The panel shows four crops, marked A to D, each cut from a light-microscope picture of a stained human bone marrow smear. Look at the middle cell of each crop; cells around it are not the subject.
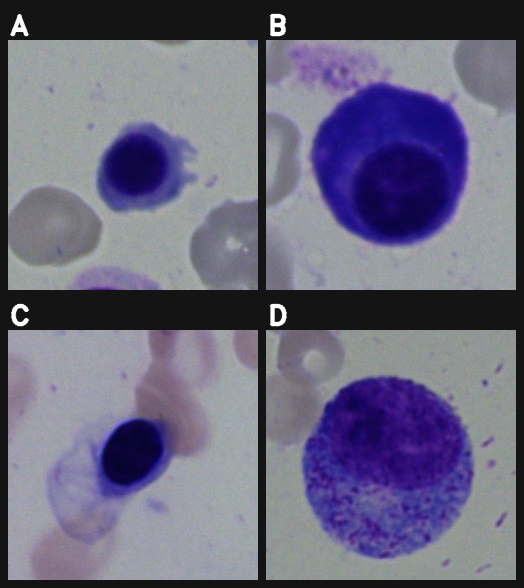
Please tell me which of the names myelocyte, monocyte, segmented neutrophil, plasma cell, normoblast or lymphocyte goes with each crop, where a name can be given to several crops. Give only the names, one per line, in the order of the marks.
normoblast
plasma cell
normoblast
myelocyte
